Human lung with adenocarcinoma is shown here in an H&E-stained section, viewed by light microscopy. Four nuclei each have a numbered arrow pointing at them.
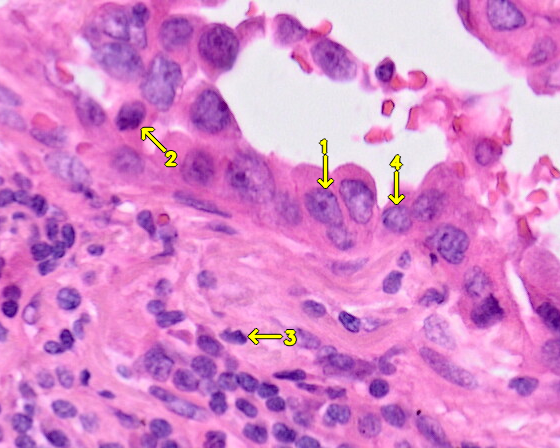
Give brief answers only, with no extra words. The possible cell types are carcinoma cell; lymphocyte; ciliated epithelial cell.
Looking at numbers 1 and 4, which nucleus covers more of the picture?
1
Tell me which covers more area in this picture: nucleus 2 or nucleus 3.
2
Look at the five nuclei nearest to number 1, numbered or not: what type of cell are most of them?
carcinoma cell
